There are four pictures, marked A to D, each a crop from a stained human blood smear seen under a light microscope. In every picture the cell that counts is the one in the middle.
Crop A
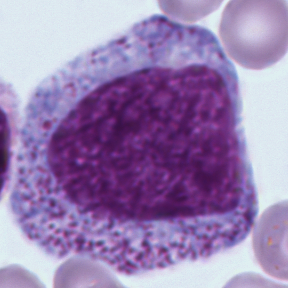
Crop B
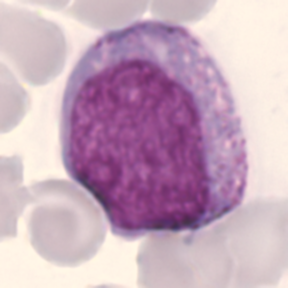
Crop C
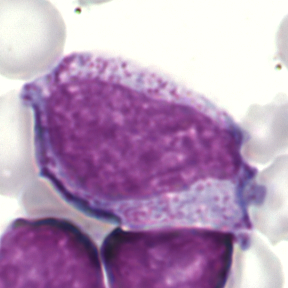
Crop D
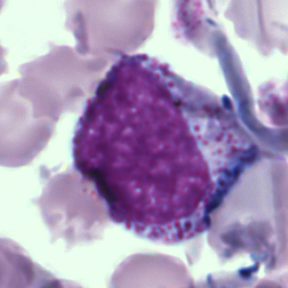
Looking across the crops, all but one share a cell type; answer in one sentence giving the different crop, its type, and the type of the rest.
The single exception is crop D, which is a myelocyte; all other crops show promyelocytes.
